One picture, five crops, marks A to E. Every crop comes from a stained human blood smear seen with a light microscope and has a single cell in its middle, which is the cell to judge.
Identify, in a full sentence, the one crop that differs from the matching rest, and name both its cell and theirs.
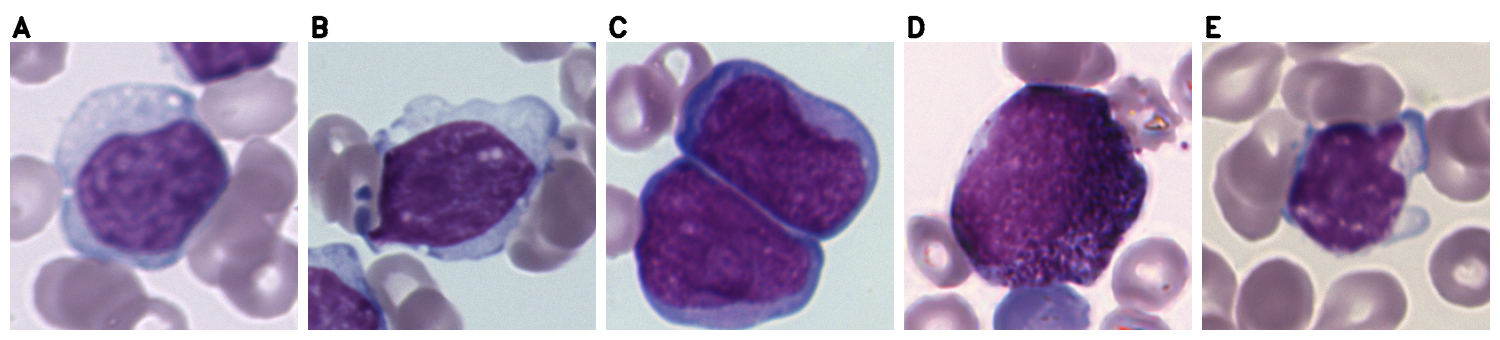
Identified in crop D is a promyelocyte, whereas the other crops all show myeloblasts.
